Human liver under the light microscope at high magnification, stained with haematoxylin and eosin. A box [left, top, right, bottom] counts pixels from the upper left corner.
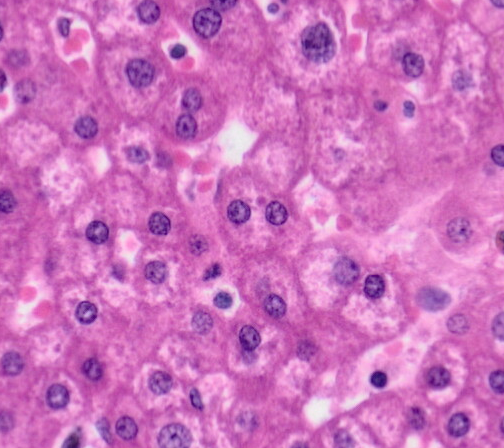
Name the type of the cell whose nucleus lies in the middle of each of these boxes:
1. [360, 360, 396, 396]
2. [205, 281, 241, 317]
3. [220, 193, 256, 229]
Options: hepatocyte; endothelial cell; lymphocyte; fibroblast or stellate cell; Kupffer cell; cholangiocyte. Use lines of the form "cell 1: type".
cell 1: lymphocyte
cell 2: lymphocyte
cell 3: hepatocyte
